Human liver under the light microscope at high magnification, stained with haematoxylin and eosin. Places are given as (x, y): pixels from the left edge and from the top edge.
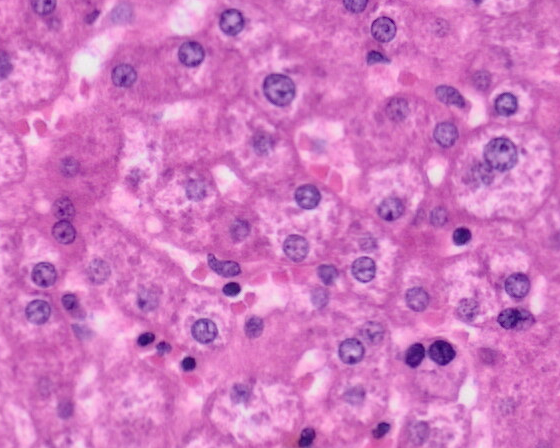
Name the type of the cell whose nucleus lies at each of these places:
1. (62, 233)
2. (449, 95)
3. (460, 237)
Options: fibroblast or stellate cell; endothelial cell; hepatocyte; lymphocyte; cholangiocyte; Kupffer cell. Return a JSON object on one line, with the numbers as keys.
{"1": "hepatocyte", "2": "Kupffer cell", "3": "lymphocyte"}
